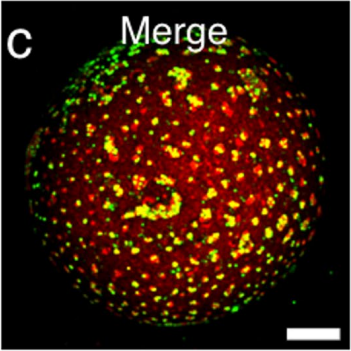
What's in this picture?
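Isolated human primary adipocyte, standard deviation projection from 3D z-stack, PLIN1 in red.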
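Green dots are scattered over the same surface, many of them gathered where red patches lie; where the two overlap they appear yellow, most strongly in the larger clusters near the middle of the cell. The outline of the cell is round and smooth, and no nucleus can be made out.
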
